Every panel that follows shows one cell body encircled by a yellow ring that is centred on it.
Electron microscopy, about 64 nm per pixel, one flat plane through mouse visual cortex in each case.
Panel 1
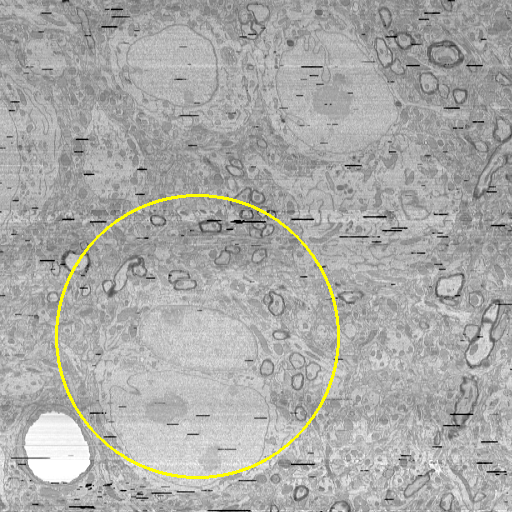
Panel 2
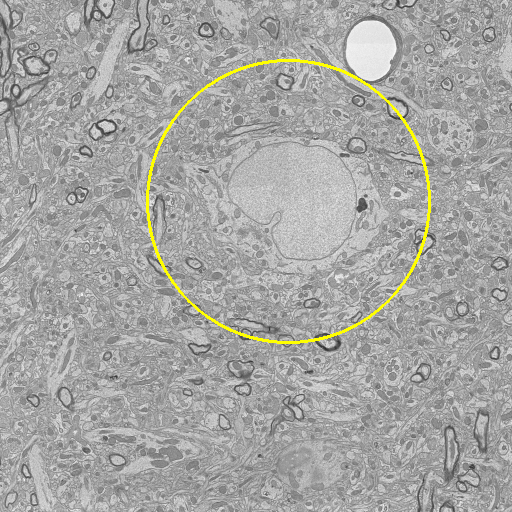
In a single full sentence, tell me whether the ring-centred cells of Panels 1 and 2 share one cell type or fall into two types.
In Panel 1 and Panel 2, the cells at the ring centres fall into two types.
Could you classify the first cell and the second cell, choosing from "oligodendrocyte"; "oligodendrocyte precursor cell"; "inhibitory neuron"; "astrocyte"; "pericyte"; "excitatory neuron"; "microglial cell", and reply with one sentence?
The second cell is an excitatory neuron, while the first is an astrocyte.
